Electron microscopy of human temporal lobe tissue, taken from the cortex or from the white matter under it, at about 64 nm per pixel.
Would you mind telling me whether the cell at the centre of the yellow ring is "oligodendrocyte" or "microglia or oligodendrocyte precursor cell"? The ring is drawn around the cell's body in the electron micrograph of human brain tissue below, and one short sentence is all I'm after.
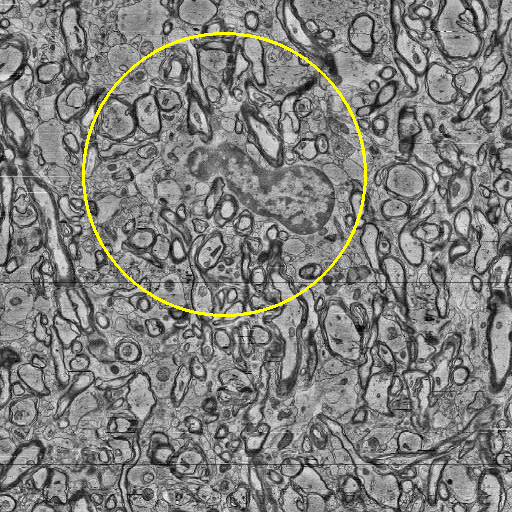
In the centre of the ring lies a microglial cell or oligodendrocyte precursor cell.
